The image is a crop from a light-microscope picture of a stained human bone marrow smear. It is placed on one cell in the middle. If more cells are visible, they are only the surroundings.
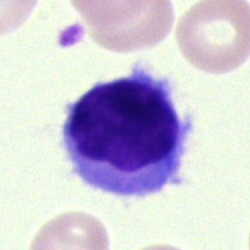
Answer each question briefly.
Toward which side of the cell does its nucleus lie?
top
